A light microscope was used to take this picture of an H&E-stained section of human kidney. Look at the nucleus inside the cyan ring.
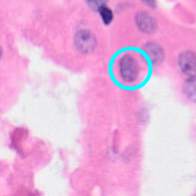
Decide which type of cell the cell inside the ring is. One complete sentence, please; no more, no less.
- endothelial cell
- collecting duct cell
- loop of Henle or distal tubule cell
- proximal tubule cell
To be brief about it, the cell inside the ring is a loop of Henle or distal tubule cell.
